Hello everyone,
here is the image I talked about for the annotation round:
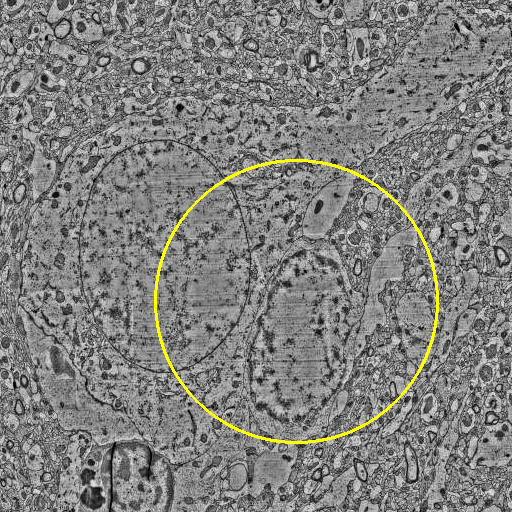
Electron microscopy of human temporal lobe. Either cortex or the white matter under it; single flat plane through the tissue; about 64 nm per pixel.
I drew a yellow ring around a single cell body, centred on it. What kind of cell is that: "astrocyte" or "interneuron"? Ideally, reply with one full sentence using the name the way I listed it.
The cell your yellow ring is centred on is an interneuron, going by your list.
